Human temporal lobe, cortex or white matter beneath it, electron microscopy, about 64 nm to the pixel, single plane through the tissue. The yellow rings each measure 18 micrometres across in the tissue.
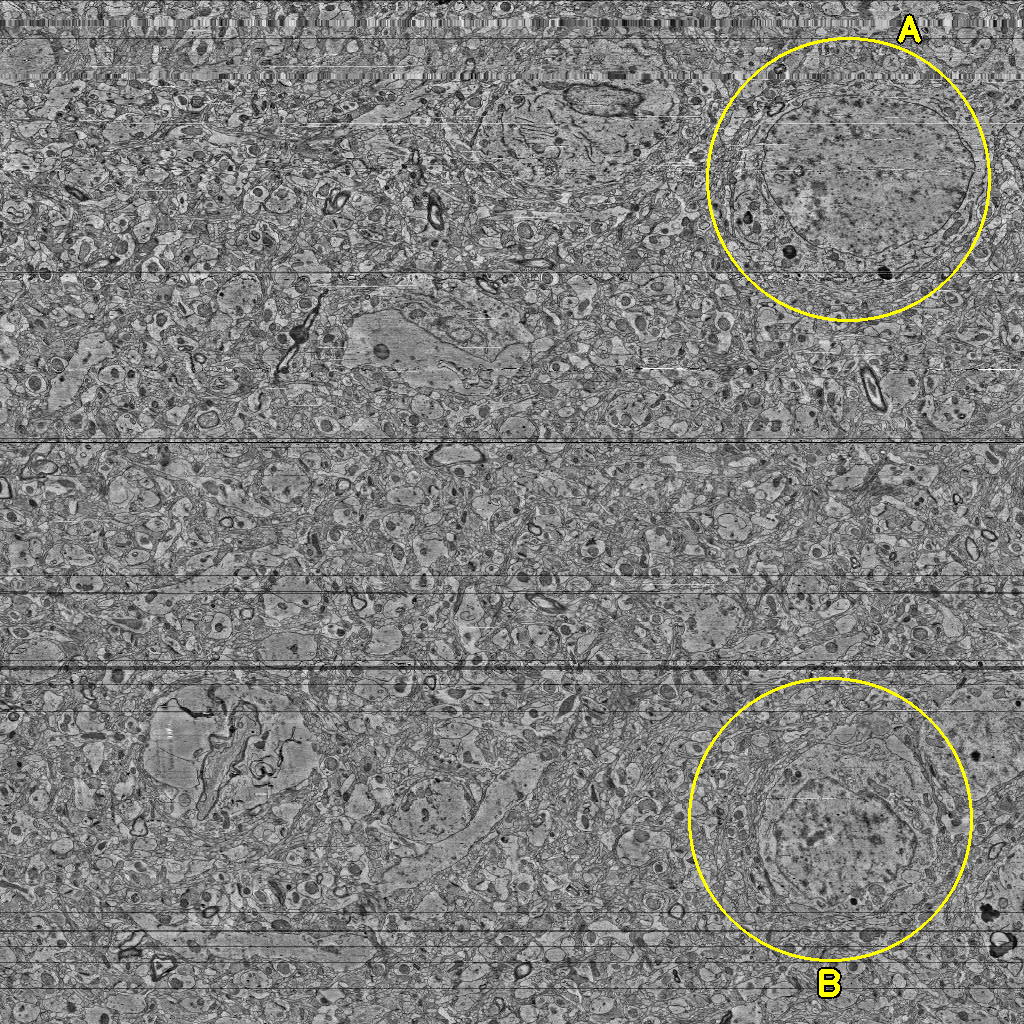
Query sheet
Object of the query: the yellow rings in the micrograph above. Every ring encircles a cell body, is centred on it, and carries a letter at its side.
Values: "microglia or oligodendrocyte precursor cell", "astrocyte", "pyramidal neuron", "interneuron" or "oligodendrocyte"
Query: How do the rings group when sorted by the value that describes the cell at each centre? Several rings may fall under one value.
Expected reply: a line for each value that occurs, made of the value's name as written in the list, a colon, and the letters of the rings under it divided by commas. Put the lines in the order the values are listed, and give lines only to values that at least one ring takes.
pyramidal neuron: A
interneuron: B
